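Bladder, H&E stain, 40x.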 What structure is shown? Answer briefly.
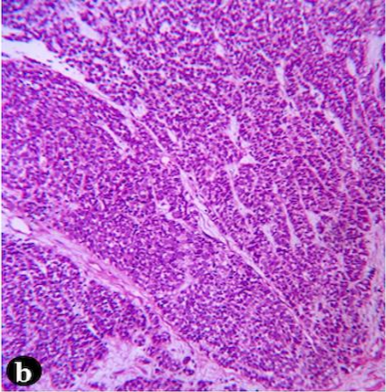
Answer: Insular fronds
